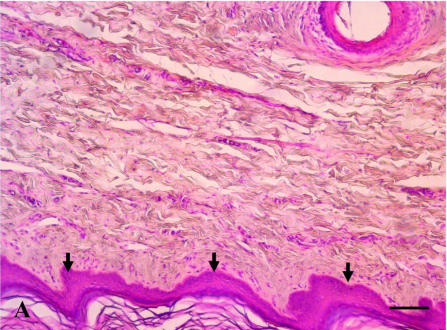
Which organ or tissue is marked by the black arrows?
Keratinised epithelium.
